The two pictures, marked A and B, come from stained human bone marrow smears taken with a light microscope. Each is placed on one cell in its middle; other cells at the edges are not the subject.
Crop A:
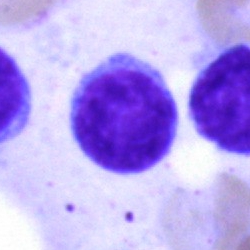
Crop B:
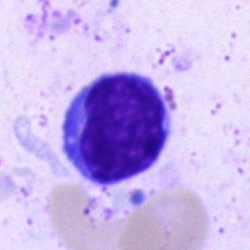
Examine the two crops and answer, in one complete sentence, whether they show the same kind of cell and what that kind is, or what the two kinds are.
Yes, both crops are centred on lymphocytes.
